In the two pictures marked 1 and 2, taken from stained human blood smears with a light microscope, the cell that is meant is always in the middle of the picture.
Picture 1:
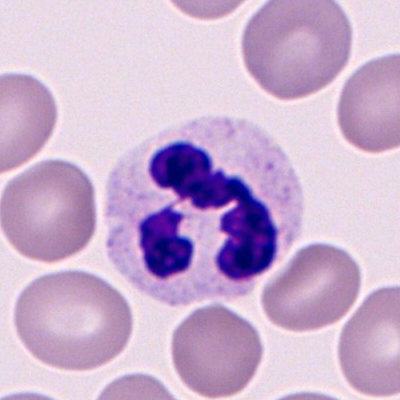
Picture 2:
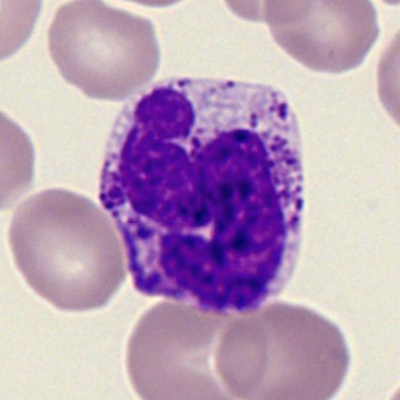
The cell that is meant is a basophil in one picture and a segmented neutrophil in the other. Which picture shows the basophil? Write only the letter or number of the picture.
2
